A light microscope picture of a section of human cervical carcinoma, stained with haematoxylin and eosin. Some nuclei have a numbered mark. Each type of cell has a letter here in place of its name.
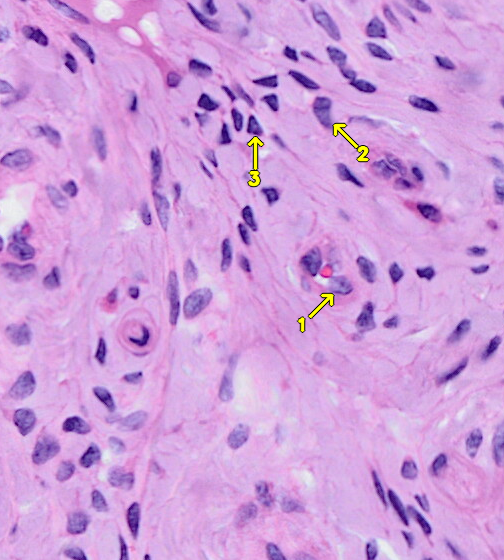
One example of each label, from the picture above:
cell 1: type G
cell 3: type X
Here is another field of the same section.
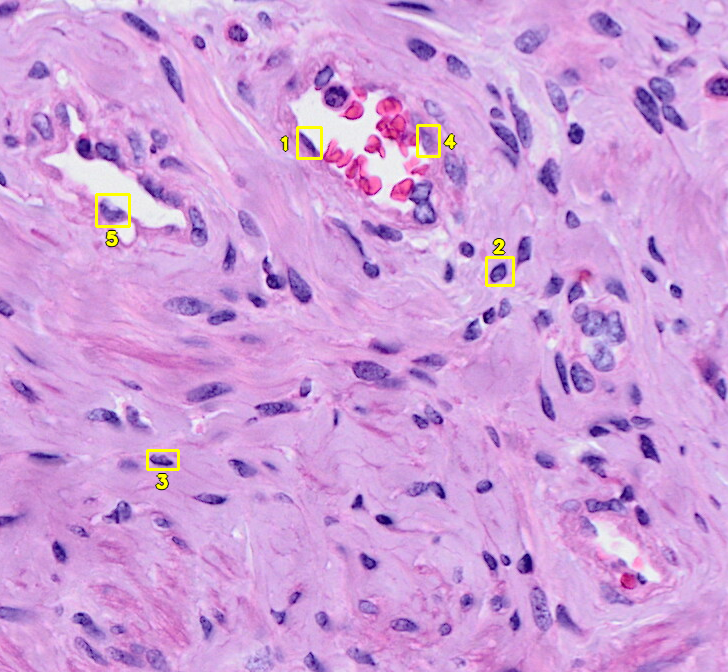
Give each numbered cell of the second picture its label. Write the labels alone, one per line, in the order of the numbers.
type G
type X
type X
type G
type G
